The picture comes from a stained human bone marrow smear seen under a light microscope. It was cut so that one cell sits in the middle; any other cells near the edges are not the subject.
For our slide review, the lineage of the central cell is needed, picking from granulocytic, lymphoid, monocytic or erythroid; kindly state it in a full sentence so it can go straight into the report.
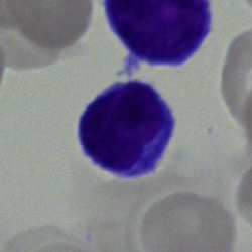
The cell in the middle is to be grouped with the lymphoid lineage.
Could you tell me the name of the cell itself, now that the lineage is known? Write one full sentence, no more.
The cell that lies at the centre of the crop is a lymphocyte.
